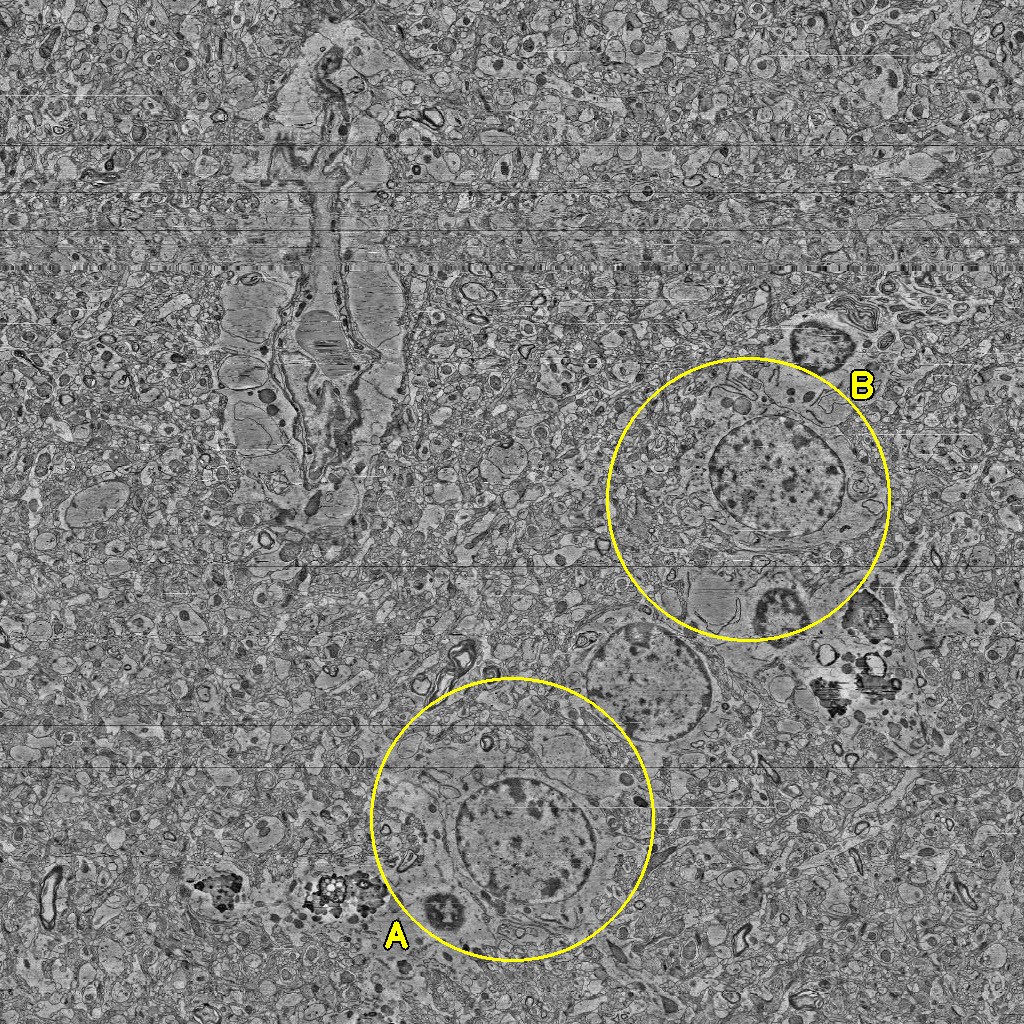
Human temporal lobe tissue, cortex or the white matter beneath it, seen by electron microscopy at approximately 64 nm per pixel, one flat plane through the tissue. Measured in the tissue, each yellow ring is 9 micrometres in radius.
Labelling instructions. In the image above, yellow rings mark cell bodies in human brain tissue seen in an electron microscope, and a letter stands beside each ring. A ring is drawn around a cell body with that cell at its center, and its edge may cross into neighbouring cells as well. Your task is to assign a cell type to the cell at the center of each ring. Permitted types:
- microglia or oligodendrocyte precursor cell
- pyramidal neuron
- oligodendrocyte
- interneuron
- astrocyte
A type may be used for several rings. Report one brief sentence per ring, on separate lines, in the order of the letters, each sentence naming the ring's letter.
The cell at the center of ring A is an astrocyte.
The cell at the center of ring B is an astrocyte.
